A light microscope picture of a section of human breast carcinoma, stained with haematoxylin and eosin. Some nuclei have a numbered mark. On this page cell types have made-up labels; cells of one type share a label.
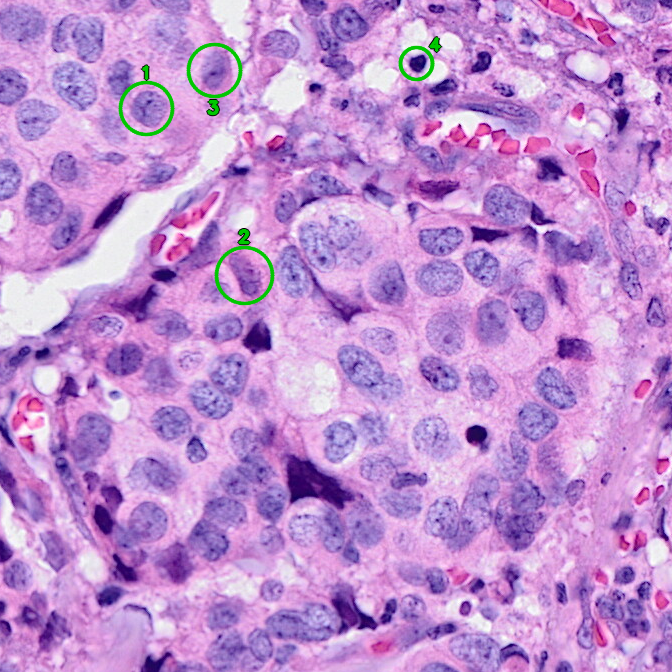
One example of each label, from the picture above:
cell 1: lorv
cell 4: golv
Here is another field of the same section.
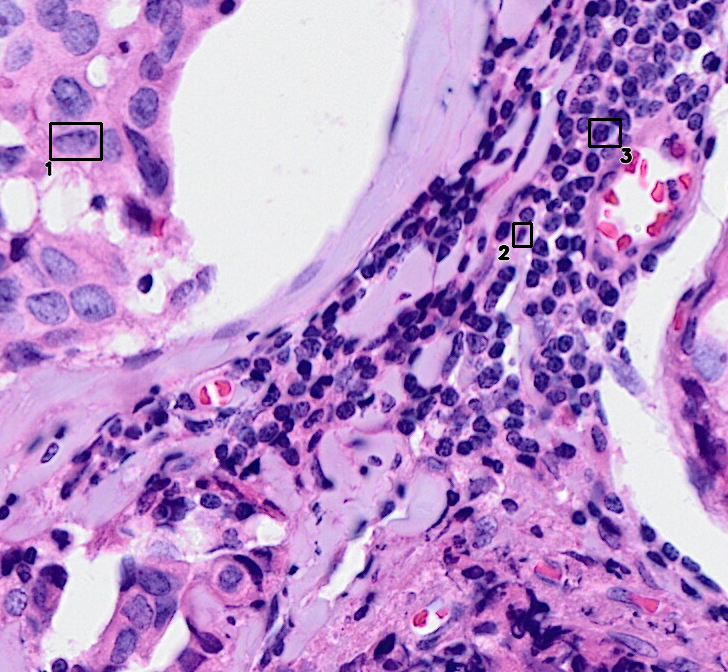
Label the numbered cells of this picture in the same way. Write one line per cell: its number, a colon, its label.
1: lorv
2: golv
3: golv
